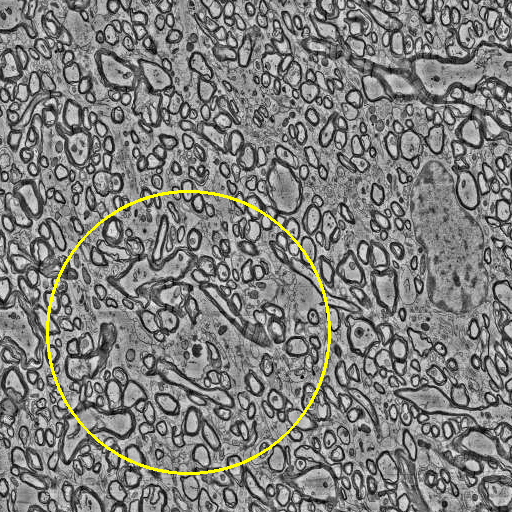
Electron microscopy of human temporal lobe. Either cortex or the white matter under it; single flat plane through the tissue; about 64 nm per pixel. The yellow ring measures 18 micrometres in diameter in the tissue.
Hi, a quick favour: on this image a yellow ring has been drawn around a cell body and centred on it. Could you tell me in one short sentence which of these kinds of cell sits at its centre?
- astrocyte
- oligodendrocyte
The ring is centred on an astrocyte.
